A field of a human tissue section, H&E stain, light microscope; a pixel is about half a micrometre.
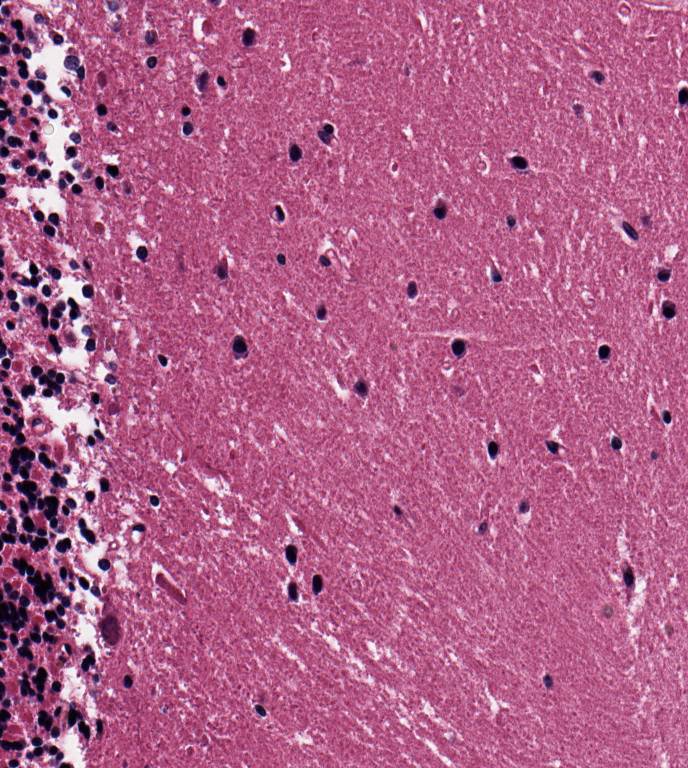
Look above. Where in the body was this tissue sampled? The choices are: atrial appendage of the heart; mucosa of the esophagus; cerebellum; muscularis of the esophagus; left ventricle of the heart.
cerebellum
